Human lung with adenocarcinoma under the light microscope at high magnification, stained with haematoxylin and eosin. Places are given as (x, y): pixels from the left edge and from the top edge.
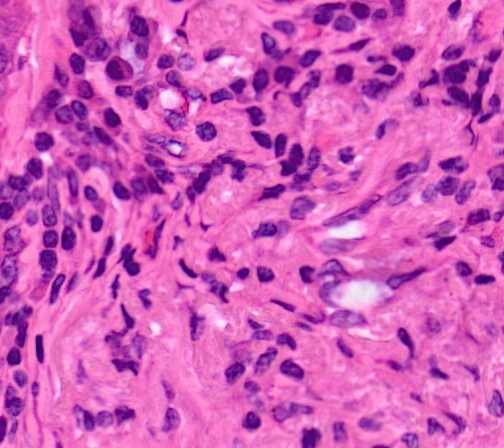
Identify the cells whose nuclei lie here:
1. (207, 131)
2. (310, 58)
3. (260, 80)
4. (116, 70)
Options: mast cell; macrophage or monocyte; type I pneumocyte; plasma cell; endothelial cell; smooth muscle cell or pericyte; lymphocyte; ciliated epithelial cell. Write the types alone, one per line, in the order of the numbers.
lymphocyte
lymphocyte
plasma cell
plasma cell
